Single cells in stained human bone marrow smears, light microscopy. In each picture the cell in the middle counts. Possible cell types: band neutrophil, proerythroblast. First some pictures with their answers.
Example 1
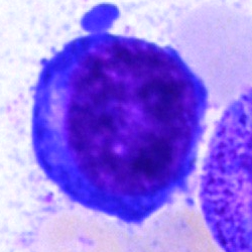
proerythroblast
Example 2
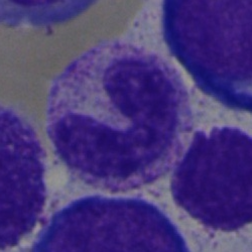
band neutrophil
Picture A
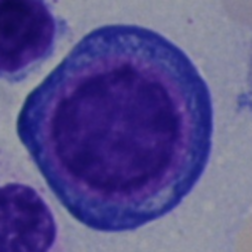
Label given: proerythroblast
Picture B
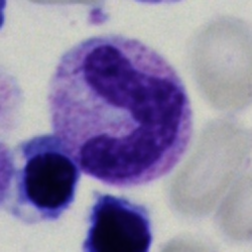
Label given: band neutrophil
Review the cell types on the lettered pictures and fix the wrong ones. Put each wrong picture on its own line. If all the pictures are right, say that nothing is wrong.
All correct.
